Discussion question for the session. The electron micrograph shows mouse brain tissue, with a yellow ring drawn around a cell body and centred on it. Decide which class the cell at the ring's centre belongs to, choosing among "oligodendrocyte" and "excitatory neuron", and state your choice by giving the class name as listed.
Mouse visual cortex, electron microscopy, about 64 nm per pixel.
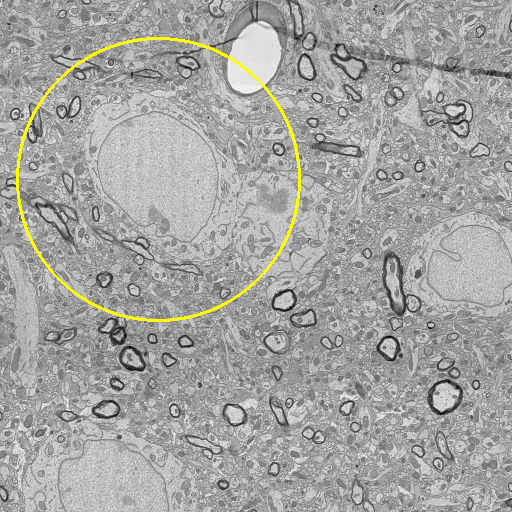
excitatory neuron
